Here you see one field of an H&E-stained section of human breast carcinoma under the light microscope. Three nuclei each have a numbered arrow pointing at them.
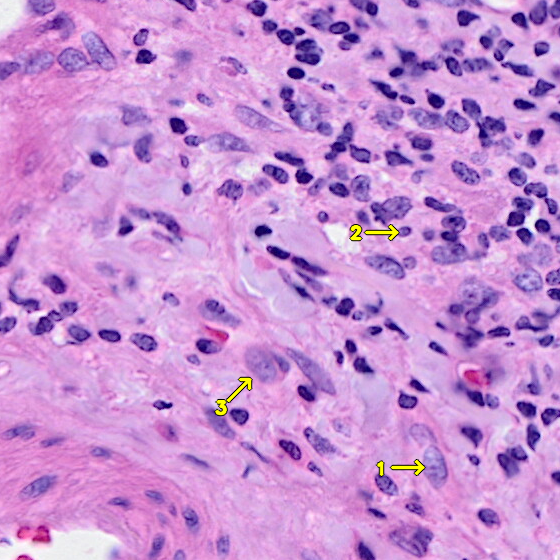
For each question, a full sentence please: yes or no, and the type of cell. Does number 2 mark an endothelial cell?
No, cell 2 is a lymphocyte, not an endothelial cell.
